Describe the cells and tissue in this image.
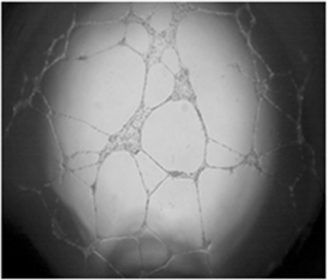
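Denser, irregular clusters of cells lie at several junctions of the cords. The field is seen at low magnification.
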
